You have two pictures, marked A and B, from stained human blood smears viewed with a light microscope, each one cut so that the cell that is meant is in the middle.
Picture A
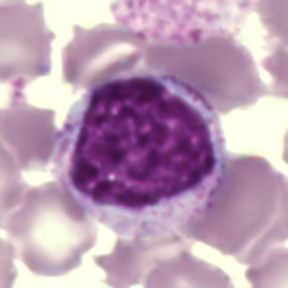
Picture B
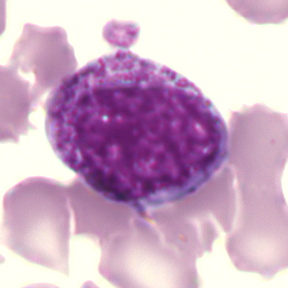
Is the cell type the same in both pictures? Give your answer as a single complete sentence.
Yes, the two pictures both show myelocytes.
